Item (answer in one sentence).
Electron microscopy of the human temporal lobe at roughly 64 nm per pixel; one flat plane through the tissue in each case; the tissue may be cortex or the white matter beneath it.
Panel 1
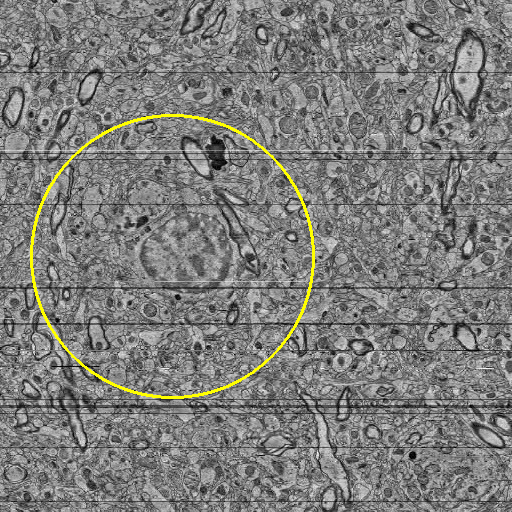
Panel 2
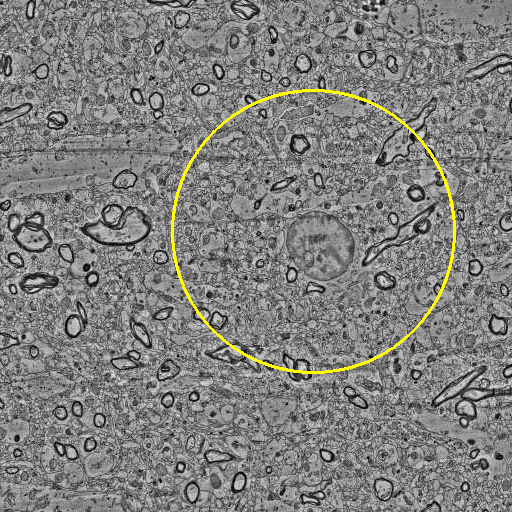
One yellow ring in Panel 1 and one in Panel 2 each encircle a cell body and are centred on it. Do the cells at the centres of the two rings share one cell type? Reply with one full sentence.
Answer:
Yes, Panel 1 and Panel 2 show cells of one type at the centres of their rings.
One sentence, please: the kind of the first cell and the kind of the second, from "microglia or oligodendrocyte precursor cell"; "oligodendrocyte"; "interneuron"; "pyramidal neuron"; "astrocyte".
The cell at the ring centre is an oligodendrocyte in both pictures.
